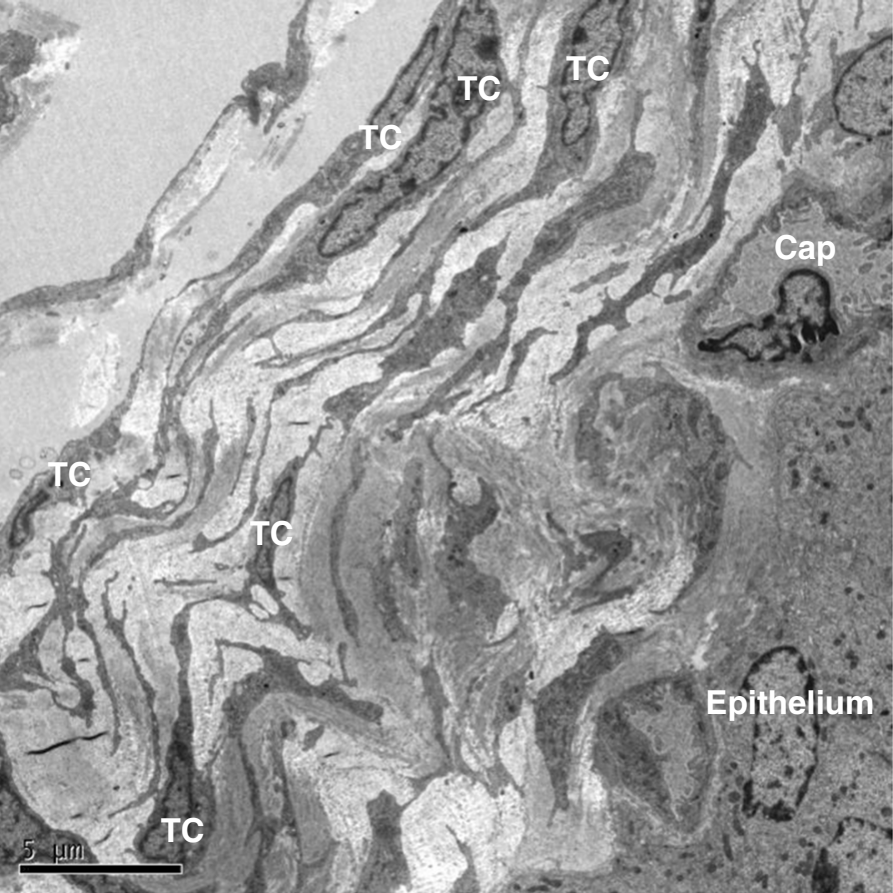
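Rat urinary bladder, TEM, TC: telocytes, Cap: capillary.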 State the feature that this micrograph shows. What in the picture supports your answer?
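The processes leave many winding compartments of paler matrix between them.
Answer: a labyrinthine structure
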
